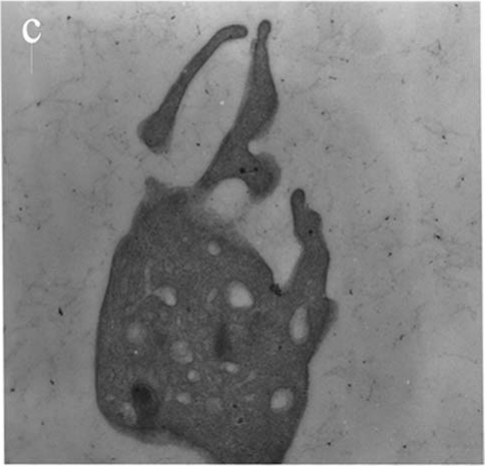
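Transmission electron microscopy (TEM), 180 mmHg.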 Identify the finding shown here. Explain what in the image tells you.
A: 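Several long, slender finger-like extensions project from one side of the cell body. The extensions have rounded, club-shaped tips.
Prominent pseudopodial protrusion of cytoplasm.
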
